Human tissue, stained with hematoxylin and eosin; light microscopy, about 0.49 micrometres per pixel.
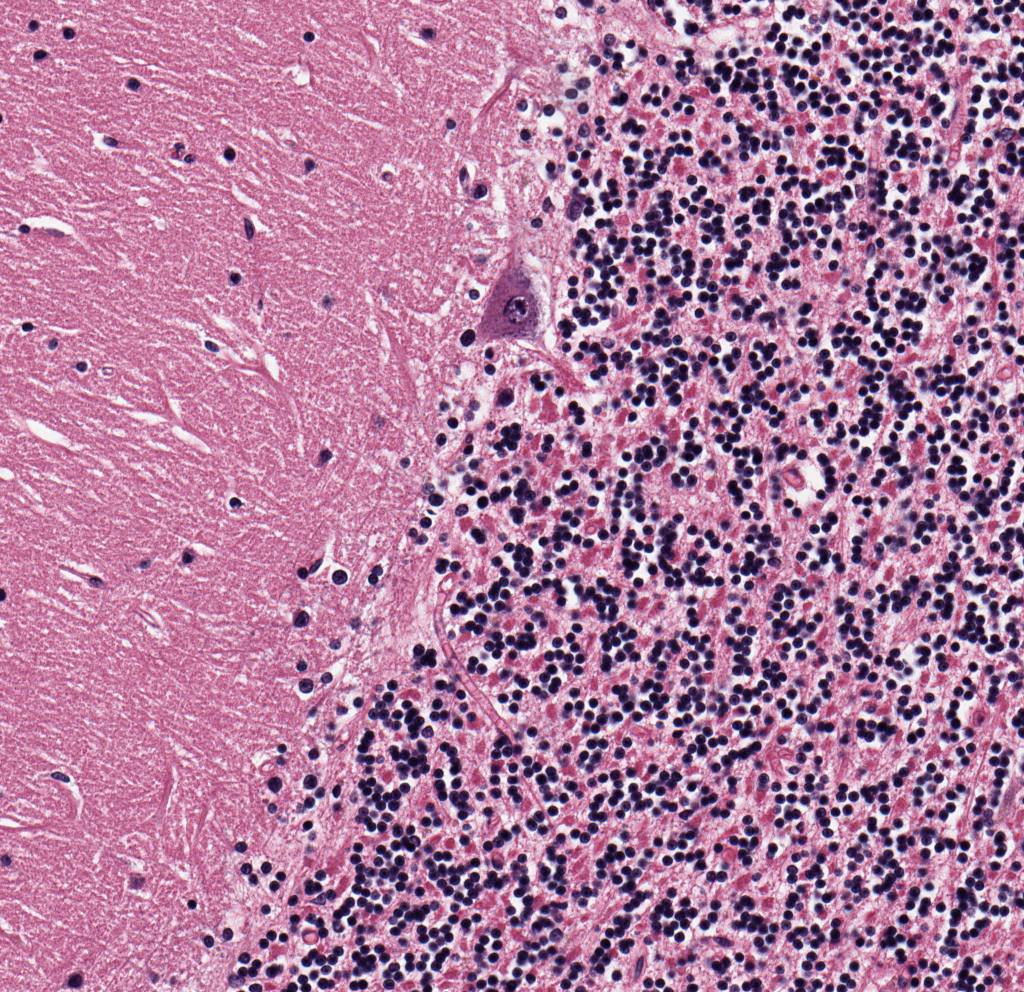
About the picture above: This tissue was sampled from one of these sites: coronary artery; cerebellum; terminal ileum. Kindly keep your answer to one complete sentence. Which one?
This sample of human tissue comes from the cerebellum.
